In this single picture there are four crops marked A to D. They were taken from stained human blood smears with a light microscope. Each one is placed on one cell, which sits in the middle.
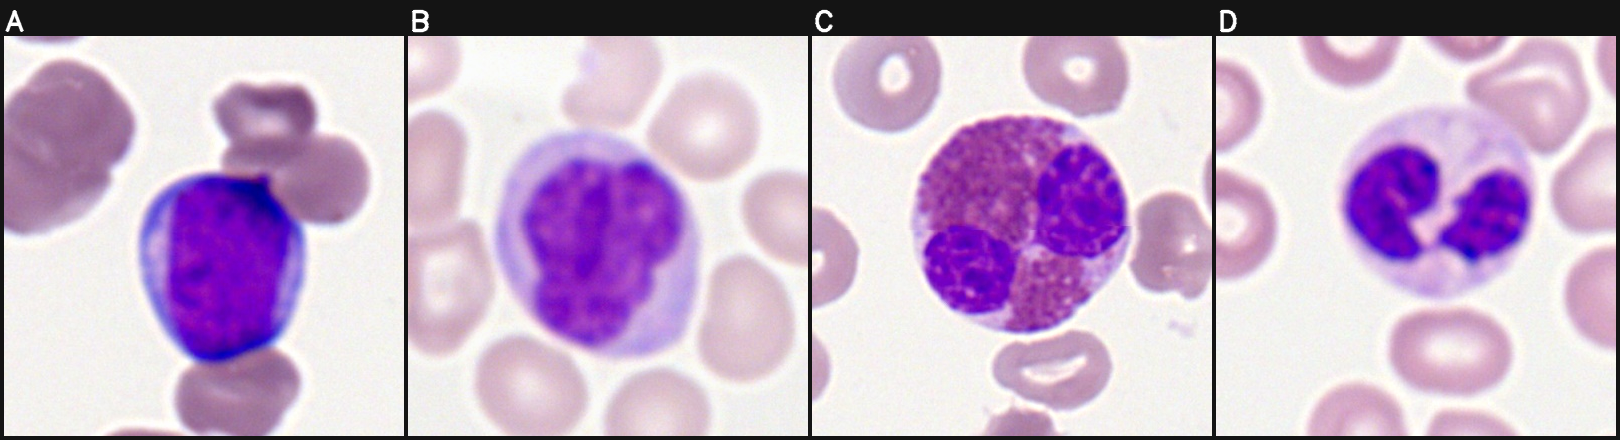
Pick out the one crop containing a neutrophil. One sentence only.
The crop with a neutrophil in it is crop D.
